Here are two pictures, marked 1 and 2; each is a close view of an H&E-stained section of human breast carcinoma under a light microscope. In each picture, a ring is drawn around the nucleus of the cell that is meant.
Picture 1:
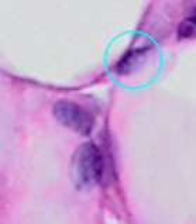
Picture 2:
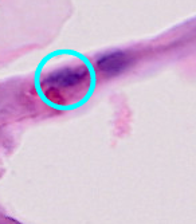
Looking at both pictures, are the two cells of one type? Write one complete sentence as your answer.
No, the types are not the same, since picture 1 shows a fibroblast and picture 2 an endothelial cell.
